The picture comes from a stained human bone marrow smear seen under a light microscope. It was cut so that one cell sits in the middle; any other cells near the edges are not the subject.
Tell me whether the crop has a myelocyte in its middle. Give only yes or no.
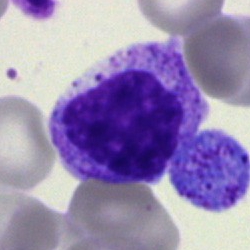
yes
